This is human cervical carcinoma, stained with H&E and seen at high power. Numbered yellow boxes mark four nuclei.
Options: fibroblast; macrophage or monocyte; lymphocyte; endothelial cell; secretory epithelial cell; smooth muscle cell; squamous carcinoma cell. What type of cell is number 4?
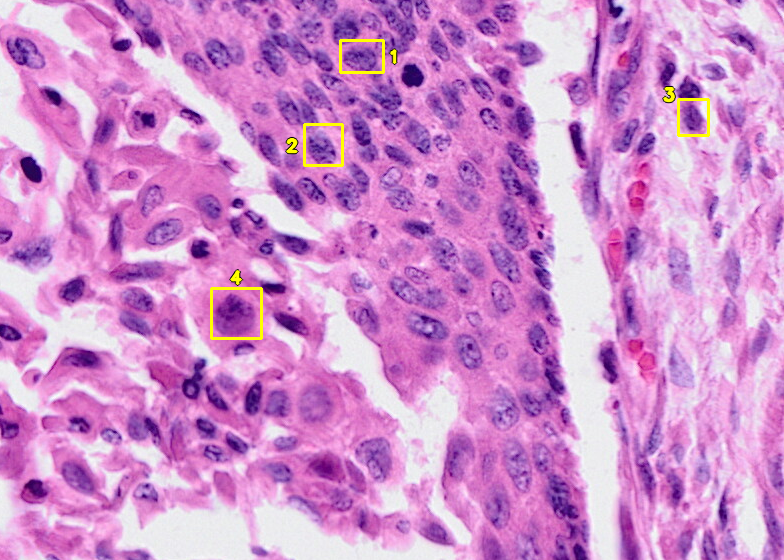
squamous carcinoma cell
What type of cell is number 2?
squamous carcinoma cell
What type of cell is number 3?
macrophage or monocyte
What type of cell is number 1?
squamous carcinoma cell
